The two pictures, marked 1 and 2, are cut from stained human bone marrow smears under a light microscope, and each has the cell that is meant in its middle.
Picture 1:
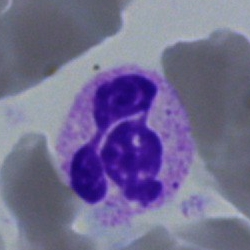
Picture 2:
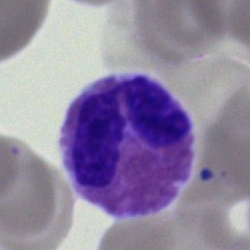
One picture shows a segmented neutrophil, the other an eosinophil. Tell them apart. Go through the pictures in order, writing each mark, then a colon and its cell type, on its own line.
1: segmented neutrophil
2: eosinophil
